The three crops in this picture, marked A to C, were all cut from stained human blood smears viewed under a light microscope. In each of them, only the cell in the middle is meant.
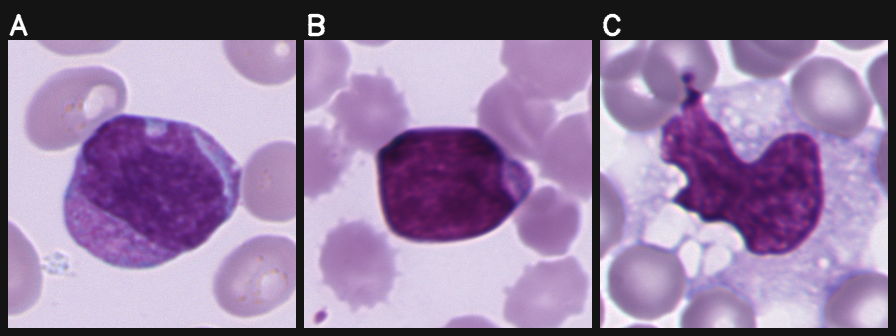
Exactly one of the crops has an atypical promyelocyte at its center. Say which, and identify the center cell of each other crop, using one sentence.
Crop A shows an atypical promyelocyte, and as for the other crops, crop B is a myeloblast and crop C is a monocyte.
